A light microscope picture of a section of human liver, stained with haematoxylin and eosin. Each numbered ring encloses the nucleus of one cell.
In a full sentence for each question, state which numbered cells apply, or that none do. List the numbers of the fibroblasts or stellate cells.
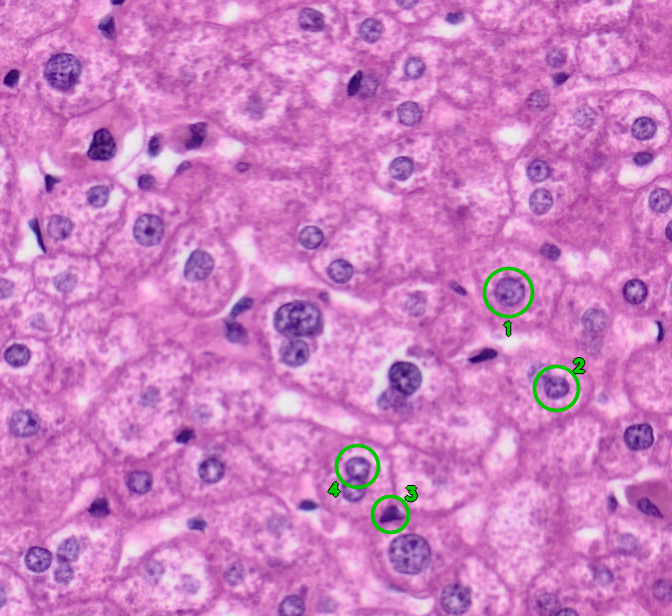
Just the cell marked 3 is a fibroblast or stellate cell; none of the other marked cells is.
